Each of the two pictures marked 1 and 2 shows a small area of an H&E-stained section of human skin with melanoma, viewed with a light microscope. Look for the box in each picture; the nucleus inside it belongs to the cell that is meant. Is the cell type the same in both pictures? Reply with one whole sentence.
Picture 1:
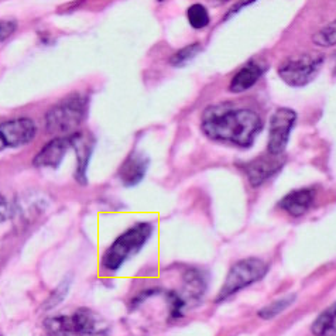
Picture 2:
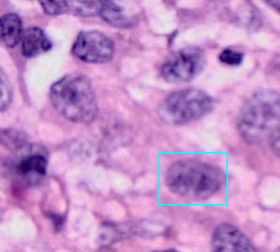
Yes; the cells in both pictures are melanoma cells.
